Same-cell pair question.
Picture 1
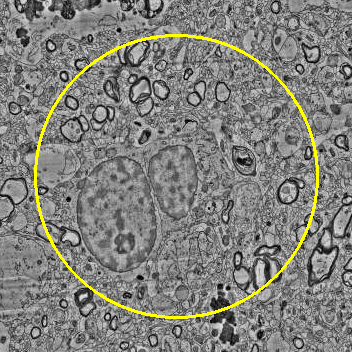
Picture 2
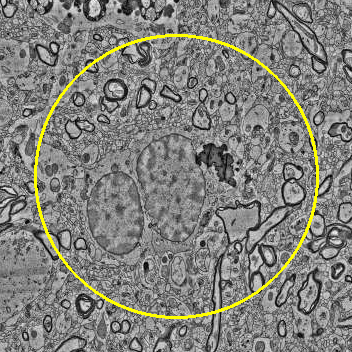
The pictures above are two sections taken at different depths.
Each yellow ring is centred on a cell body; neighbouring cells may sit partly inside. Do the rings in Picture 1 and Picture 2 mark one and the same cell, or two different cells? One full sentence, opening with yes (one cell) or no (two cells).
Yes, the second ring marks the same cell as the first.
